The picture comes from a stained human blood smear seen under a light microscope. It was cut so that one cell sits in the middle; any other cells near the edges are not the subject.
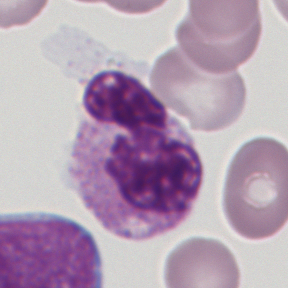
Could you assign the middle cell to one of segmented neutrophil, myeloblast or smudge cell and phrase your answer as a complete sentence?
The crop centres on a single cell, and that cell is a segmented neutrophil.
